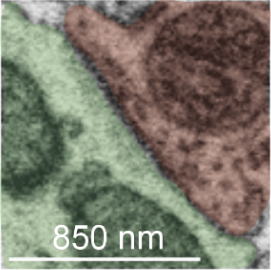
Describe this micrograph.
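A red-tinted axon terminal, packed with small round vesicles and holding a large mitochondrion, lies pressed against a green-tinted dendrite. Along their contact the membranes are dark and thickened.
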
